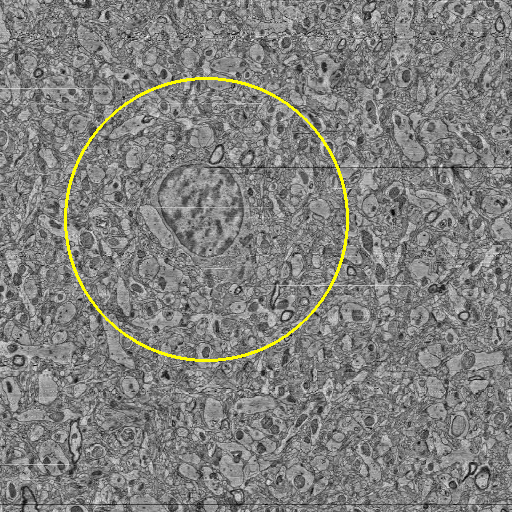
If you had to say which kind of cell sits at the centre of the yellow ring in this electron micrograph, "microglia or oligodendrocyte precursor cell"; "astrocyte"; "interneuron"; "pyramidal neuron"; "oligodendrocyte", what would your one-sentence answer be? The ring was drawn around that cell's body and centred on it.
The cell sitting at the centre of the ring is an oligodendrocyte.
